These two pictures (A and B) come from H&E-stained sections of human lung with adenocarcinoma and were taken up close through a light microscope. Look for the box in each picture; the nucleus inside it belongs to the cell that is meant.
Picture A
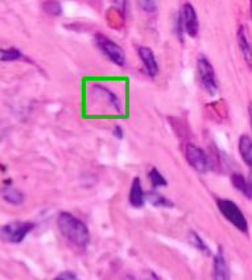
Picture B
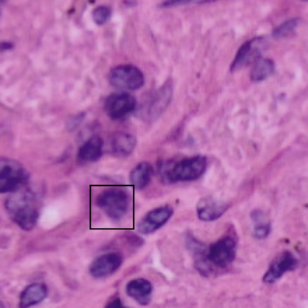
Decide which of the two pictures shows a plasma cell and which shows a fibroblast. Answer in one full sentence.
Picture A is of a fibroblast, and picture B is of a plasma cell.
